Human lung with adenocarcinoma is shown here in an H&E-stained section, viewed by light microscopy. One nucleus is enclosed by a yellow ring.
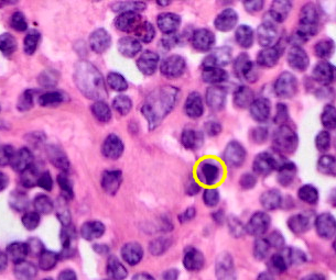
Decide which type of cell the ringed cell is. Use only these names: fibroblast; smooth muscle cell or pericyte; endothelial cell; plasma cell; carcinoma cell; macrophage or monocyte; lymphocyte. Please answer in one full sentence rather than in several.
With respect to cell type, the ringed cell is a lymphocyte.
